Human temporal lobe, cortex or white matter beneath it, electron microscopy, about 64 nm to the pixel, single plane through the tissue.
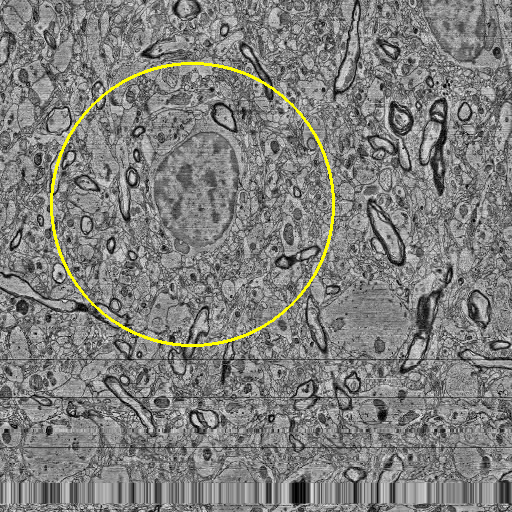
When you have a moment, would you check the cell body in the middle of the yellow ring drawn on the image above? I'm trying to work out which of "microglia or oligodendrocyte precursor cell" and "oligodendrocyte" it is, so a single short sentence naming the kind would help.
This cell body belongs to an oligodendrocyte.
